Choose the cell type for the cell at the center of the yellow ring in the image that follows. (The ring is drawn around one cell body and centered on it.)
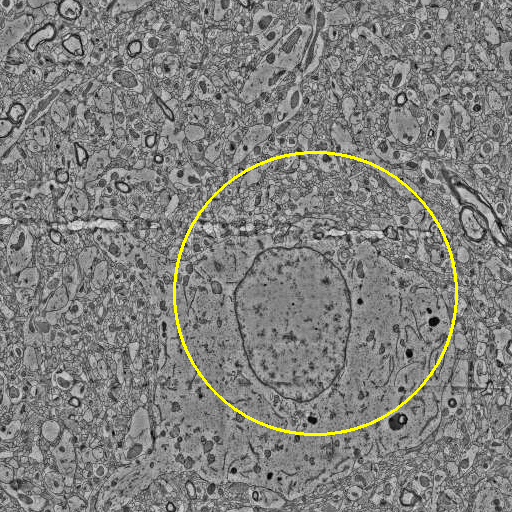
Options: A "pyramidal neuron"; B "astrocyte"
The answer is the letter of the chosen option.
A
